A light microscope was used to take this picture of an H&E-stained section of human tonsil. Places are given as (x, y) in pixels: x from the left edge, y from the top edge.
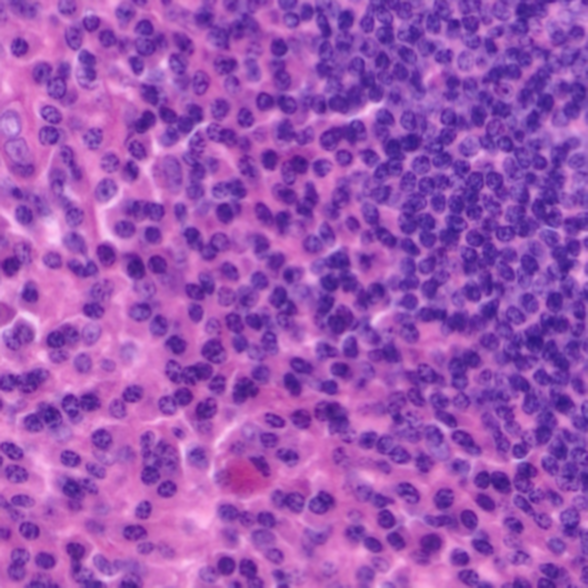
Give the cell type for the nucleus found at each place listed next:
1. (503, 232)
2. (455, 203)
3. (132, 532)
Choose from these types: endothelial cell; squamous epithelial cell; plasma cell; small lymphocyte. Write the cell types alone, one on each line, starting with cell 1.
small lymphocyte
small lymphocyte
plasma cell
